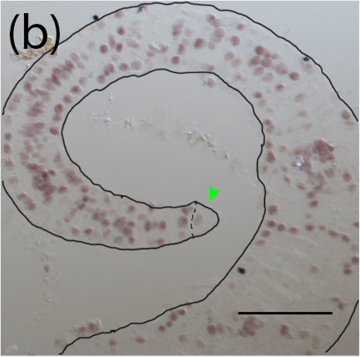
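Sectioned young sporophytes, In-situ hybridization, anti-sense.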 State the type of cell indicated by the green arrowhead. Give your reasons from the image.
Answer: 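The arrowhead points to a single cell set off by a dashed line at the very tip of the curled outlined structure. The marked cell sits at the apex of the tapering tip. That points to this answer: leaf apical cell.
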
